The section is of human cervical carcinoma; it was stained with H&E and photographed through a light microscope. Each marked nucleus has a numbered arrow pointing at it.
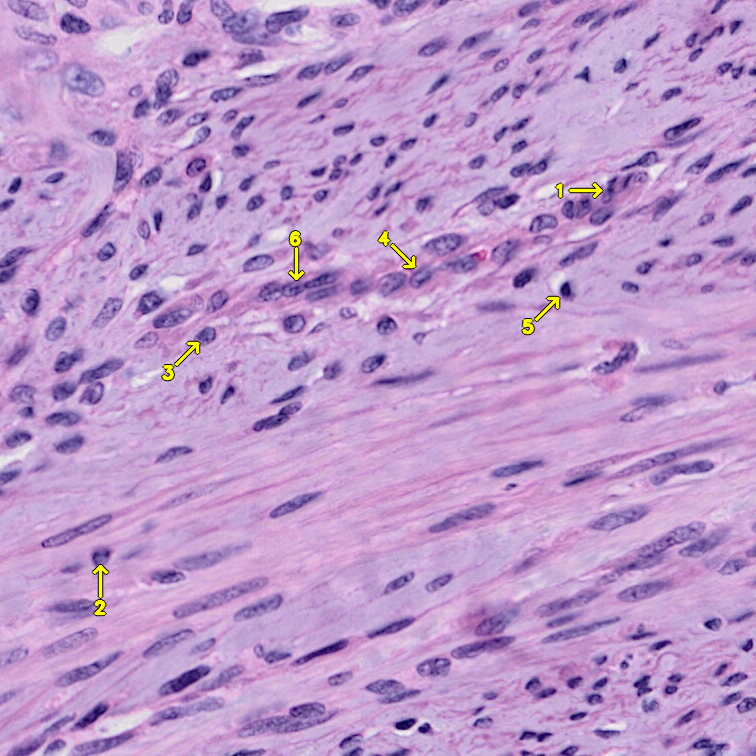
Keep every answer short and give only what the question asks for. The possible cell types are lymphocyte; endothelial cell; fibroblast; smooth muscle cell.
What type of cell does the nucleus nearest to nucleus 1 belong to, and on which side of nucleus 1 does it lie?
an endothelial cell above and to the right of nucleus 1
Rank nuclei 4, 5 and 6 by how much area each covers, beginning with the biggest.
4, 6, 5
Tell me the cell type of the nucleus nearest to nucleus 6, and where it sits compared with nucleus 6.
an endothelial cell, to the left of nucleus 6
